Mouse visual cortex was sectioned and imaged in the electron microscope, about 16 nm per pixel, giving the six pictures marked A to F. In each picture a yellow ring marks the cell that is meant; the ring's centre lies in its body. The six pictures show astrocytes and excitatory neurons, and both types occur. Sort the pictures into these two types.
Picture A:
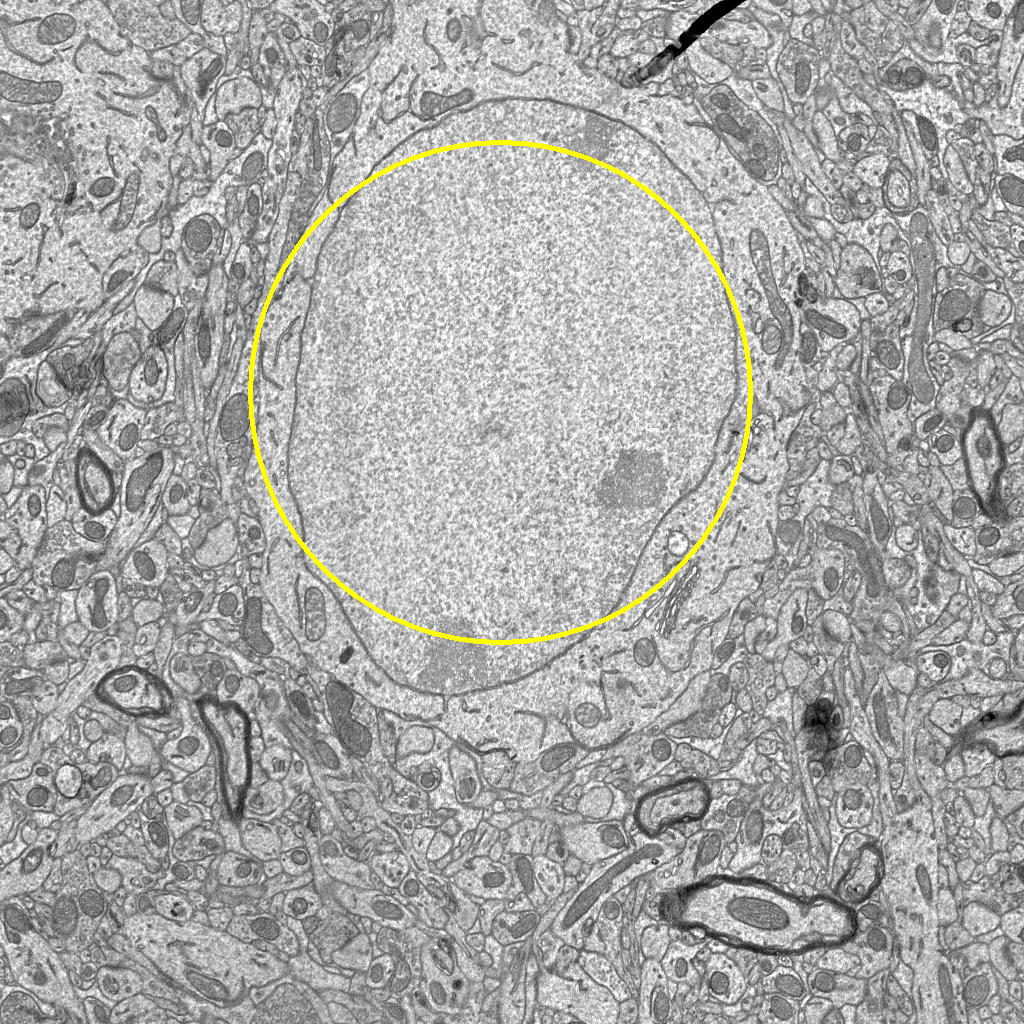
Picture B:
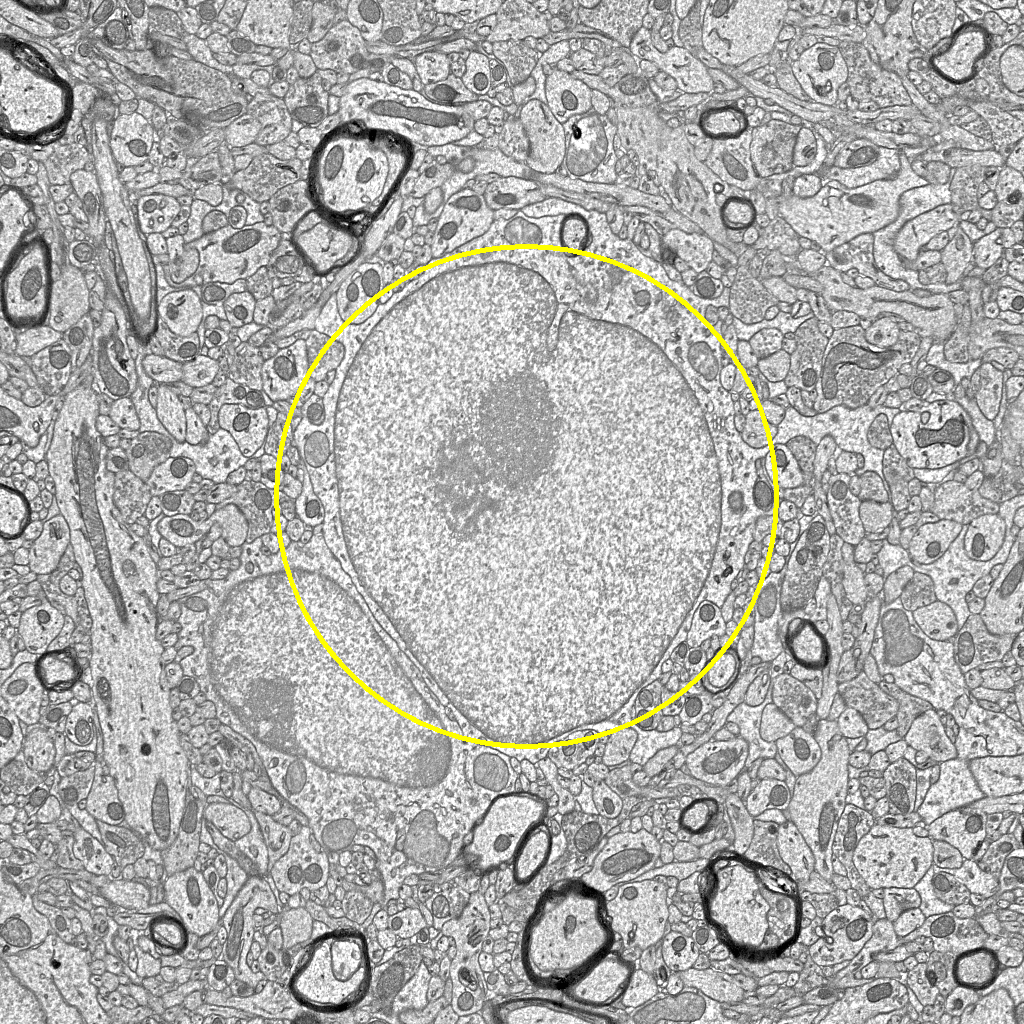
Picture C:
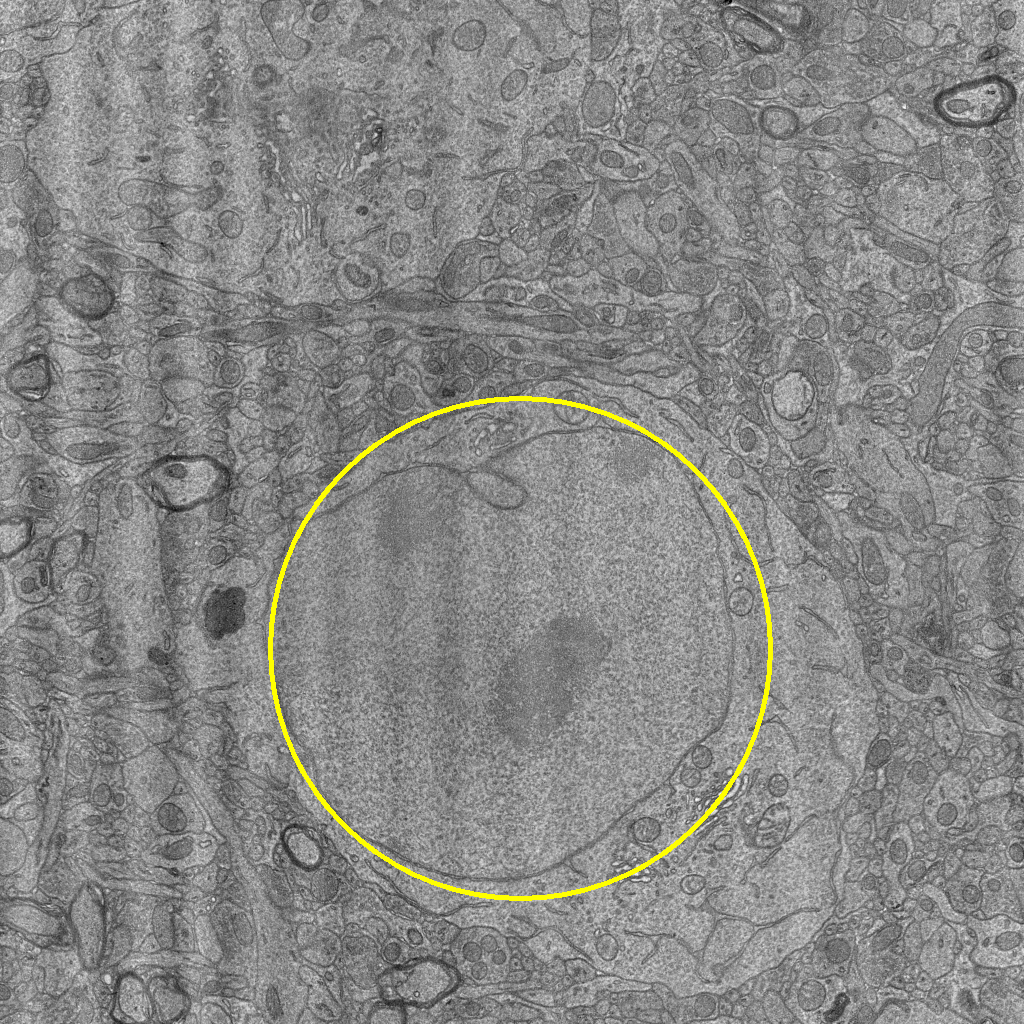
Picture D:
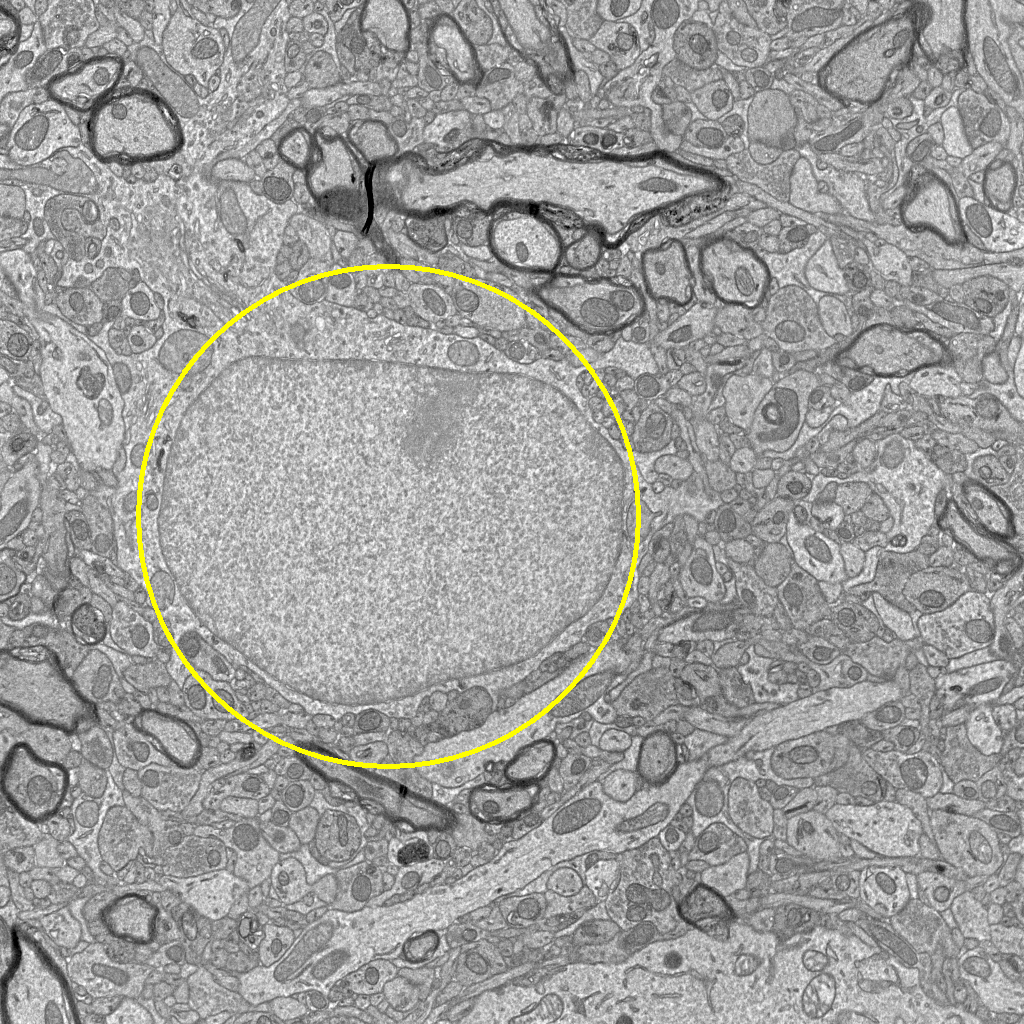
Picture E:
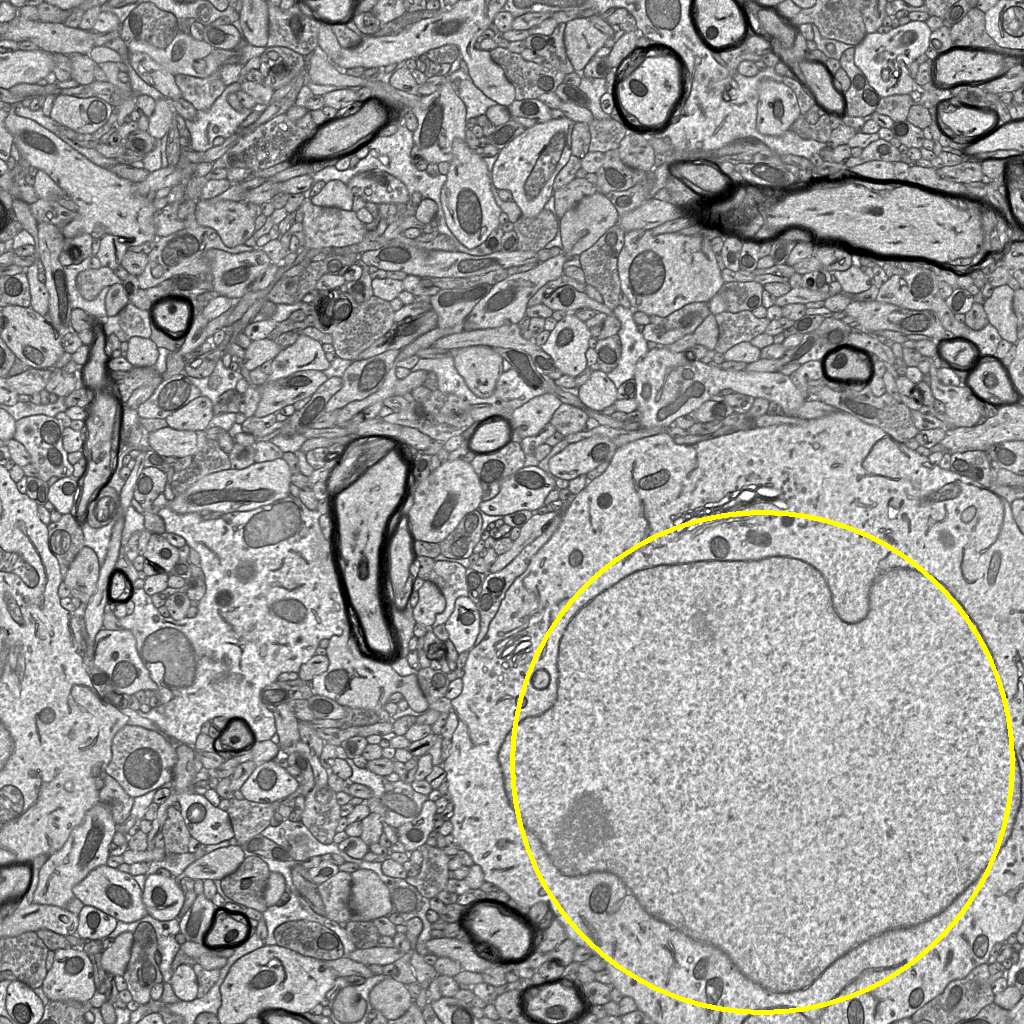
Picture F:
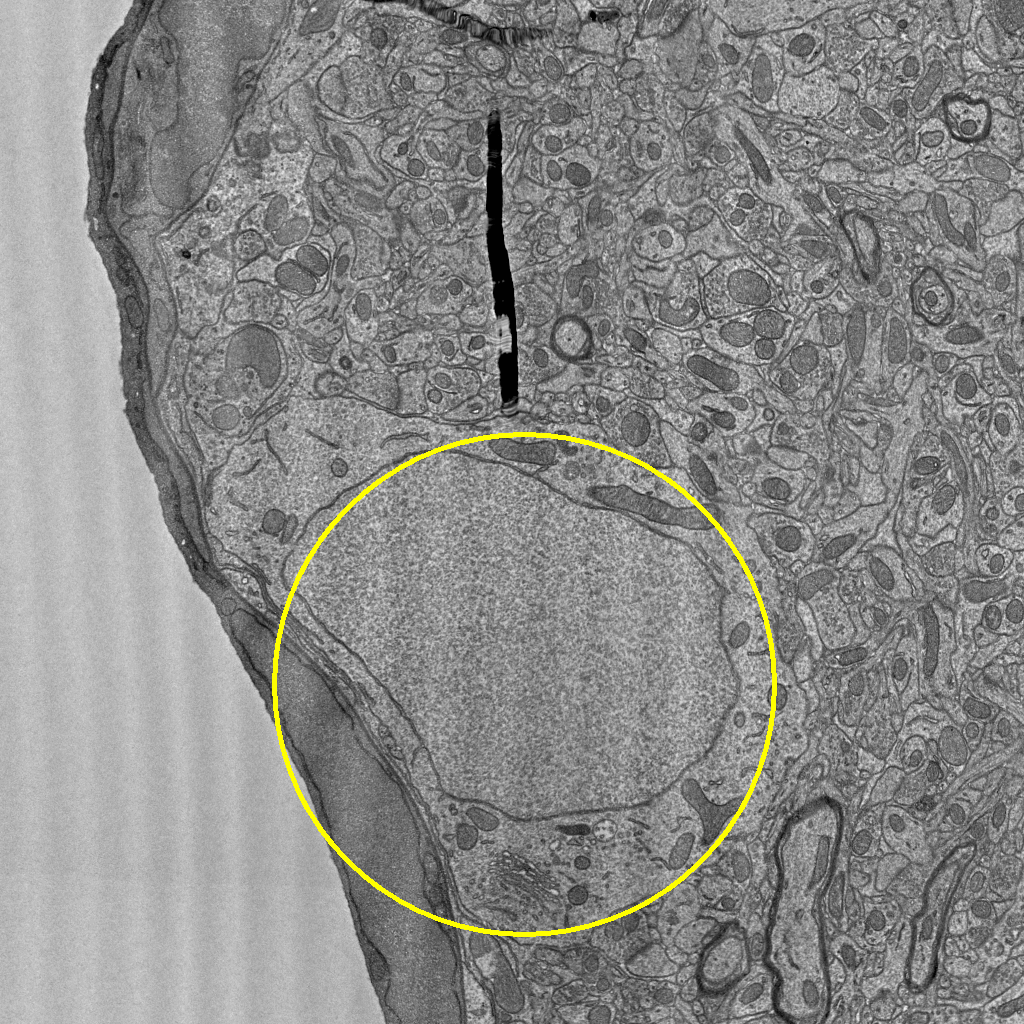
Pictures B and D show astrocytes, while pictures A, C, E and F show excitatory neurons.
